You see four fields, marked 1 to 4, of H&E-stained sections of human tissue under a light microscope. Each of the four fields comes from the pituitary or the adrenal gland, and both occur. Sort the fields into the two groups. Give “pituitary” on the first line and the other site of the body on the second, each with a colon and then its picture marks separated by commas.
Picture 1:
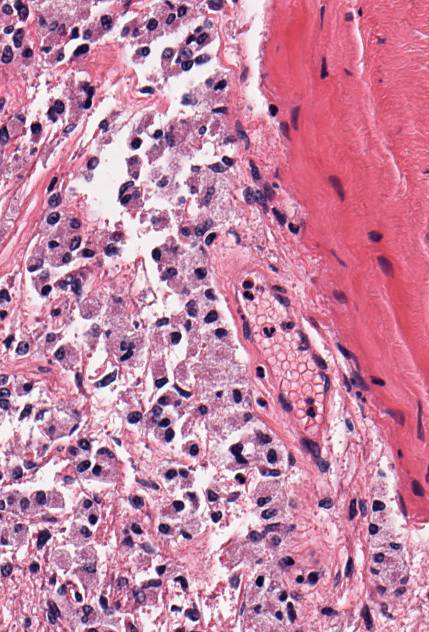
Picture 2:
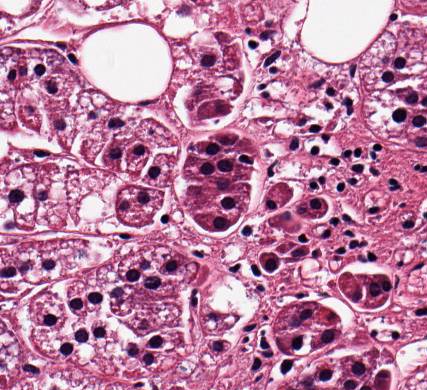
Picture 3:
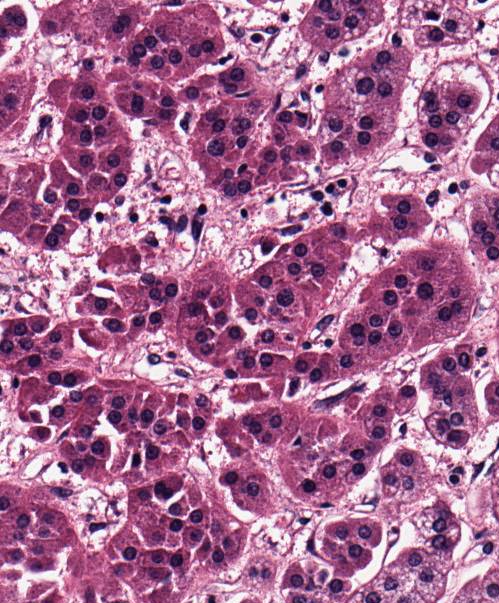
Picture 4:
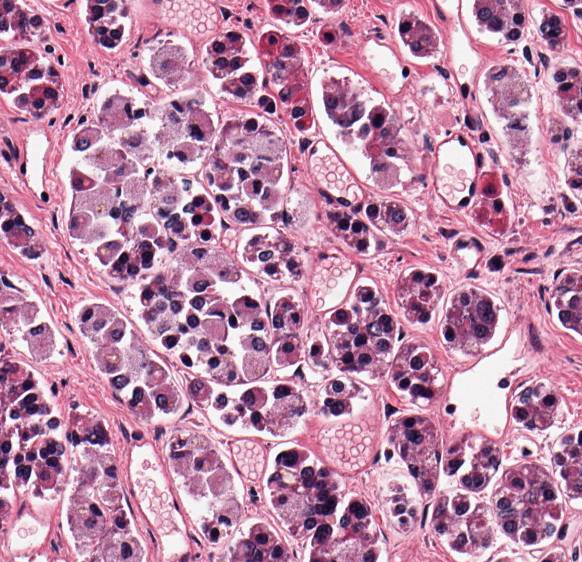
pituitary: 1, 4
adrenal gland: 2, 3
